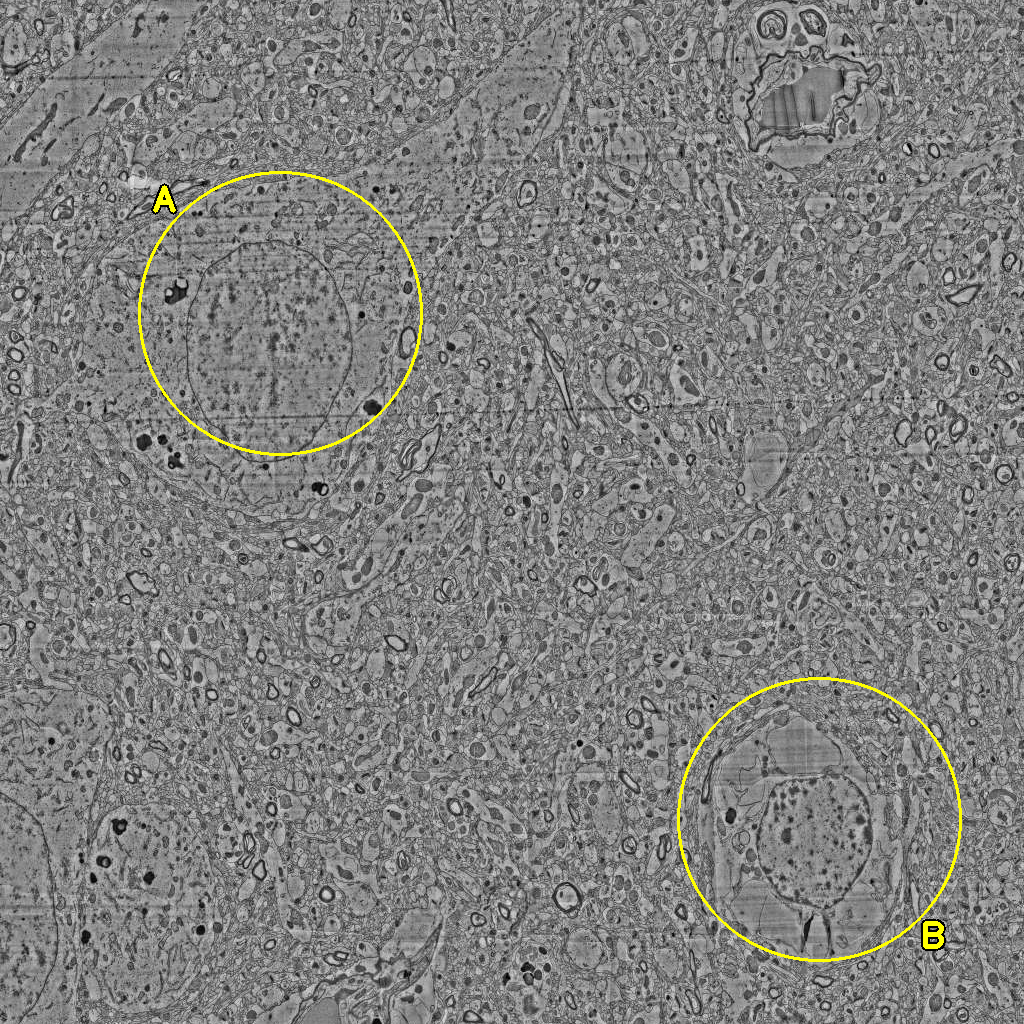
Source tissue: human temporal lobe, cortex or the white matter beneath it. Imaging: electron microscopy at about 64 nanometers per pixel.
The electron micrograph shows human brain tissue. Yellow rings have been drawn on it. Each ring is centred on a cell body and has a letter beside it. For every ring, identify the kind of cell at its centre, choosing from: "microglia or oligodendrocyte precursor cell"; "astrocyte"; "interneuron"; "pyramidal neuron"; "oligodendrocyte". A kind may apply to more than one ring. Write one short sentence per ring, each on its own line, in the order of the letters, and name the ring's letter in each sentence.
Ring A is centred on a pyramidal neuron.
Ring B is centred on an astrocyte.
